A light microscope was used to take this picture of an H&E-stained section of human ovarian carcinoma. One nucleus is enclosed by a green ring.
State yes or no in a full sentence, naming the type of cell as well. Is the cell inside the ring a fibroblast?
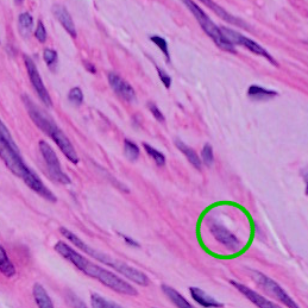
No, the cell inside the ring is not a fibroblast, but is instead a smooth muscle cell.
